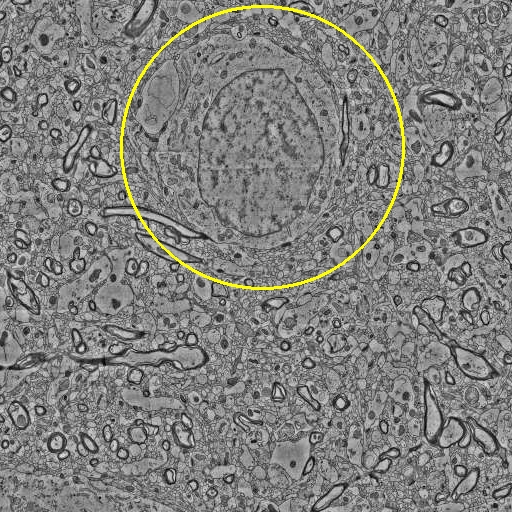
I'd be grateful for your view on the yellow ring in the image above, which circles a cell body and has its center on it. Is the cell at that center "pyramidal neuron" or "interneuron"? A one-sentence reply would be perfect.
The cell at the center of the yellow ring is an interneuron.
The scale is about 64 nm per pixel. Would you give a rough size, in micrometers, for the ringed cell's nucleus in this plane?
The nucleus works out at approximately 11 by 8 micrometres in this plane.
